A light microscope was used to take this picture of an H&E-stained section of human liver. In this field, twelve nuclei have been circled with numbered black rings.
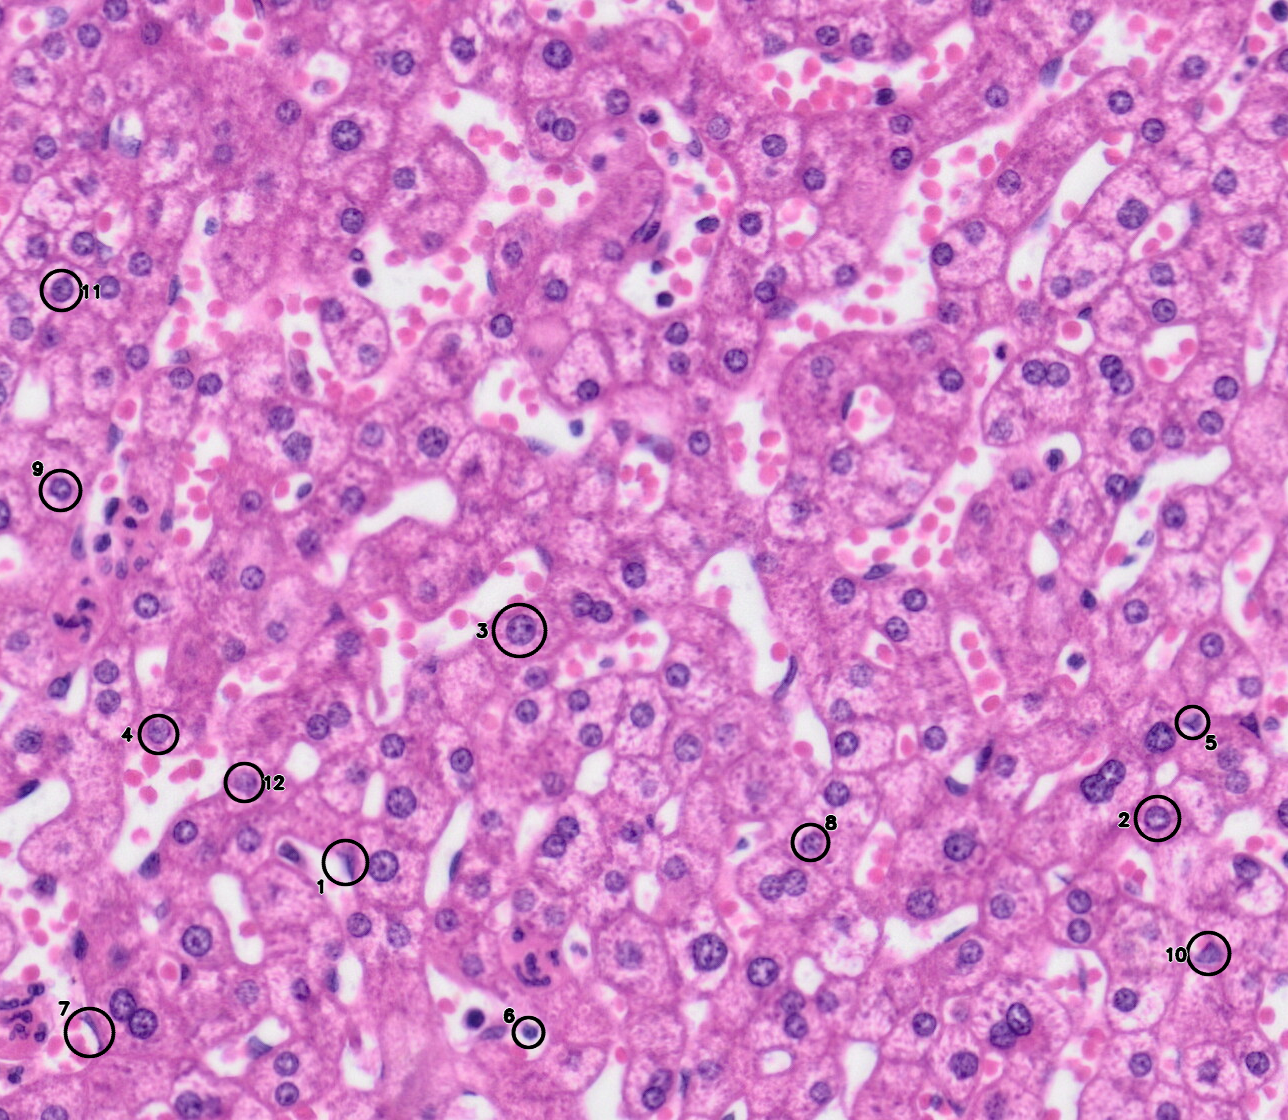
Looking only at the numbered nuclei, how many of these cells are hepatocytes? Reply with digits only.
7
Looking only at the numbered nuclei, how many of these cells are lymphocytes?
1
